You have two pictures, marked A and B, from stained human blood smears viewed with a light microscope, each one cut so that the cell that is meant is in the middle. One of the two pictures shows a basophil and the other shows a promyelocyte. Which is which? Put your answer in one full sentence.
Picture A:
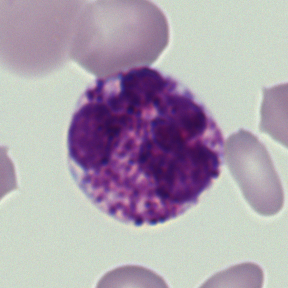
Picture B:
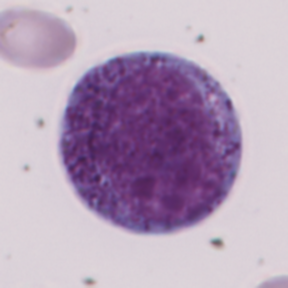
It is picture A that shows a basophil, and picture B that shows a promyelocyte.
